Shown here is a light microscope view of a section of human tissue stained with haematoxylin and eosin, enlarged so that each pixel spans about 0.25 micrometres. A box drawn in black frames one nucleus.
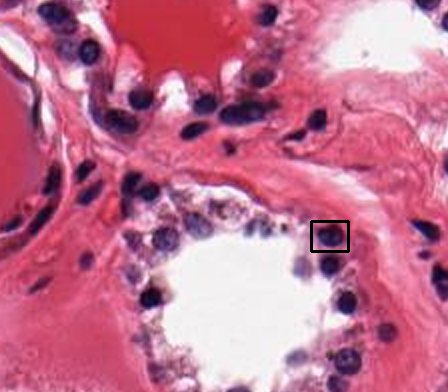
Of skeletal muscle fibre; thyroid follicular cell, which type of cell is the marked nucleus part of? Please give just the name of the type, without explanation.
thyroid follicular cell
